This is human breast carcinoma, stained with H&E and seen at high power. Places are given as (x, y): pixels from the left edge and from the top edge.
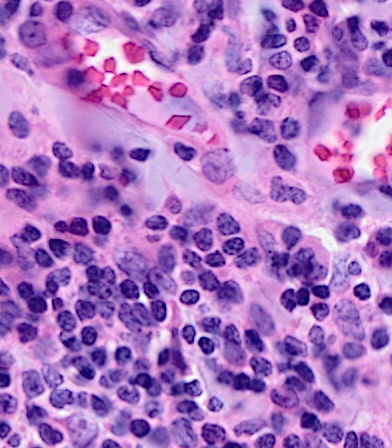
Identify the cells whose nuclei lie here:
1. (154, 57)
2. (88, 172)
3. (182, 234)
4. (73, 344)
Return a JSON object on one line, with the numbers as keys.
{"1": "endothelial cell", "2": "lymphocyte", "3": "lymphocyte", "4": "lymphocyte"}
